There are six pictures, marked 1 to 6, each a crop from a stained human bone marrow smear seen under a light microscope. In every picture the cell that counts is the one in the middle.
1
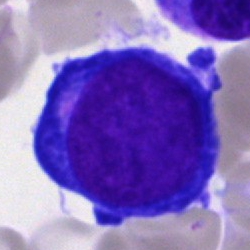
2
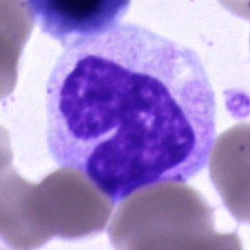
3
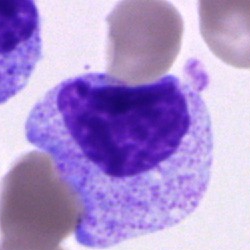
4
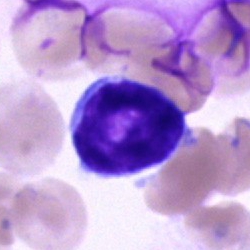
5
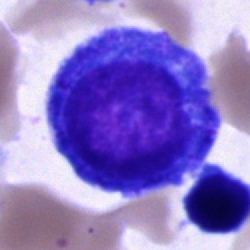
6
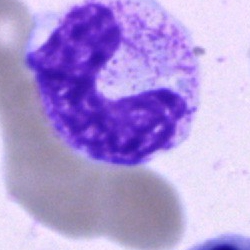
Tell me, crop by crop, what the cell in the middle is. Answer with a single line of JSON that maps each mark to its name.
{"1": "proerythroblast", "2": "band neutrophil", "3": "myelocyte", "4": "lymphocyte", "5": "promyelocyte", "6": "band neutrophil"}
